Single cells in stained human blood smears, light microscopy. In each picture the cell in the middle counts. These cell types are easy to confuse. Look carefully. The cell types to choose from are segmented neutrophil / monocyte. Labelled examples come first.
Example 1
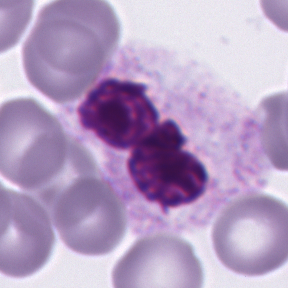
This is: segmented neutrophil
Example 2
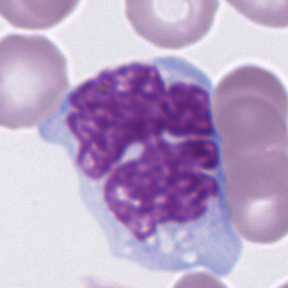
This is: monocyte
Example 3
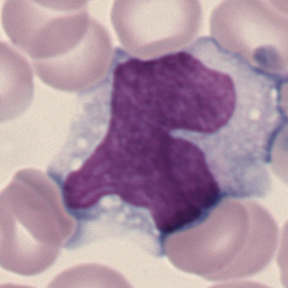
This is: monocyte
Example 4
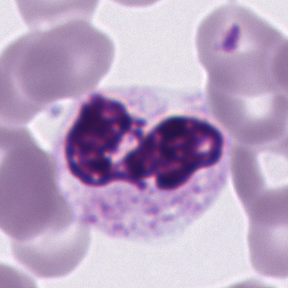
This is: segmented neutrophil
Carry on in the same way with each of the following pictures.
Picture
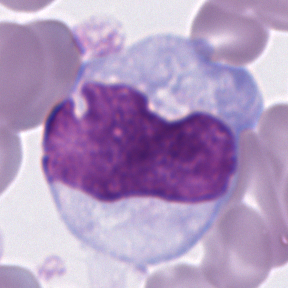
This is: monocyte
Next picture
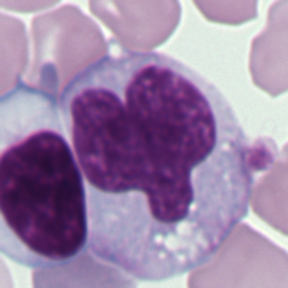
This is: monocyte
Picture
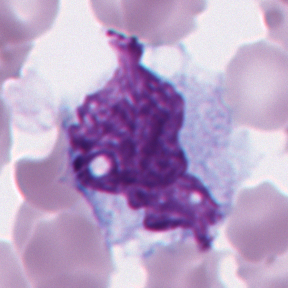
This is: monocyte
